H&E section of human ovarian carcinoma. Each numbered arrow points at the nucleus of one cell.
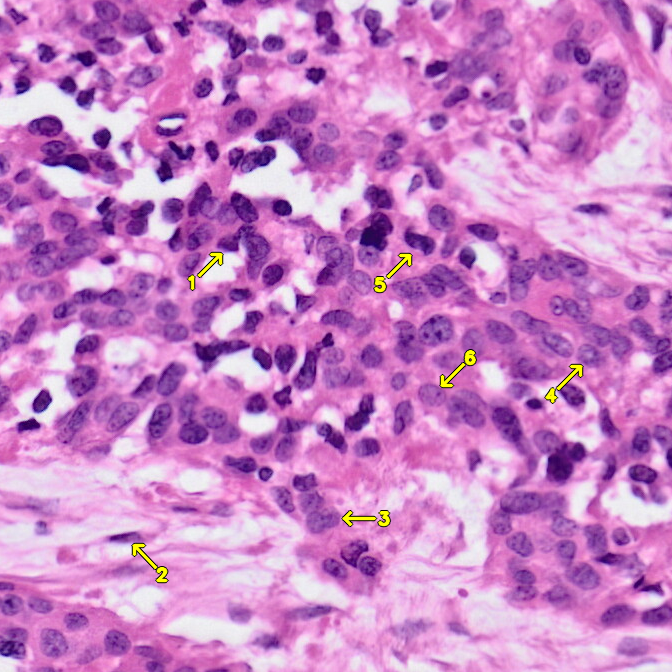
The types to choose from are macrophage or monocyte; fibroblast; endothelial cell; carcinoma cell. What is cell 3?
carcinoma cell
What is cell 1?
carcinoma cell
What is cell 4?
carcinoma cell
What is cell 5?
macrophage or monocyte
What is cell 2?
fibroblast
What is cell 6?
carcinoma cell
